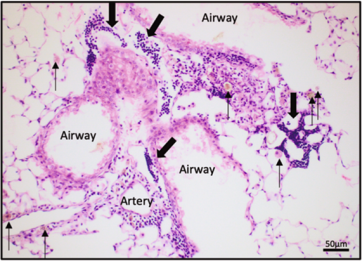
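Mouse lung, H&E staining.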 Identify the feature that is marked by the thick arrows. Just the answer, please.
Lymphoid aggregates.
